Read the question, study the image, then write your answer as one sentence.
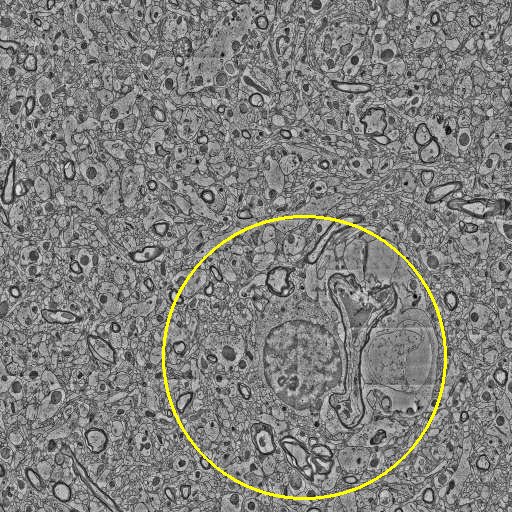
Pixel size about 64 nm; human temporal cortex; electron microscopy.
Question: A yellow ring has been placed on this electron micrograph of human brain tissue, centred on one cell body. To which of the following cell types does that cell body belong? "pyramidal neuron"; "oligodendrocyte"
That cell body belongs to an oligodendrocyte.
